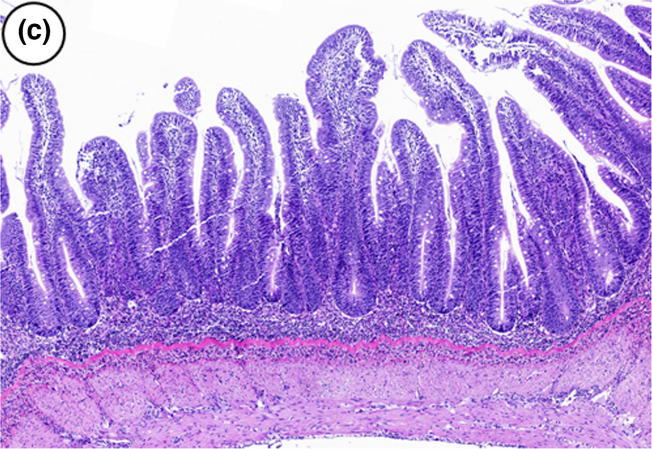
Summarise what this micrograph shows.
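This is the intestinal wall, in which mucosal folds are lined by a tall columnar epithelium and stand on a pink layer of smooth muscle. The cores of the folds are broad and crowded with dark nuclei. A thick, cell-rich layer lies beneath the folds, above the muscle.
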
